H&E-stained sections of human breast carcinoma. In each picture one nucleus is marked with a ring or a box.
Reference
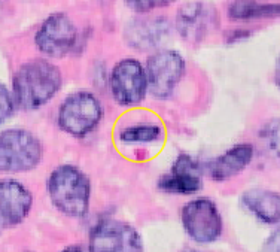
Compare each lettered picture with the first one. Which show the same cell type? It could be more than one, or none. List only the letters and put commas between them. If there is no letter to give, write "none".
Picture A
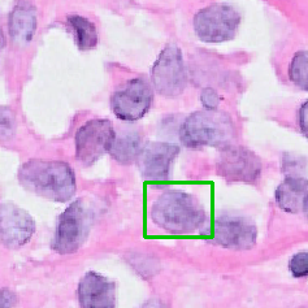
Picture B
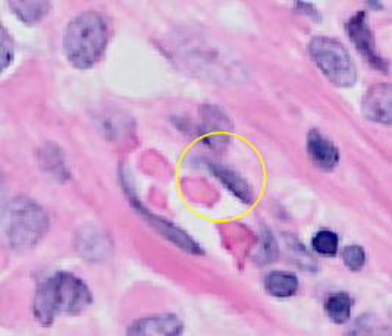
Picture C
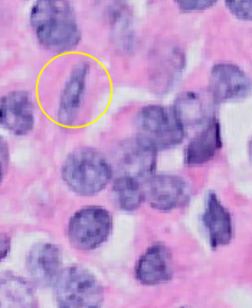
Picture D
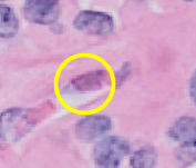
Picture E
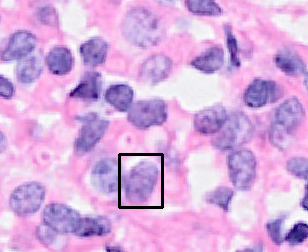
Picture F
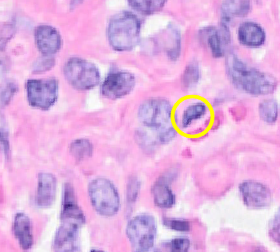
B, C, D, F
